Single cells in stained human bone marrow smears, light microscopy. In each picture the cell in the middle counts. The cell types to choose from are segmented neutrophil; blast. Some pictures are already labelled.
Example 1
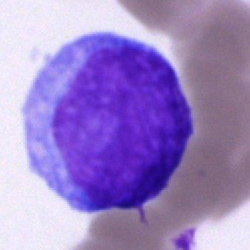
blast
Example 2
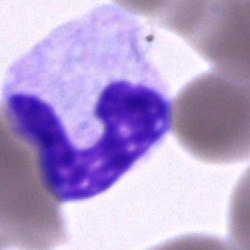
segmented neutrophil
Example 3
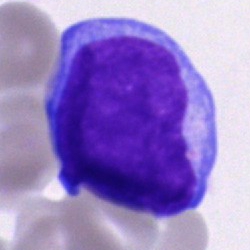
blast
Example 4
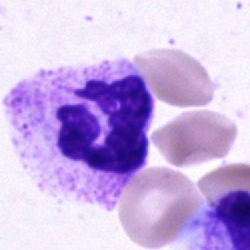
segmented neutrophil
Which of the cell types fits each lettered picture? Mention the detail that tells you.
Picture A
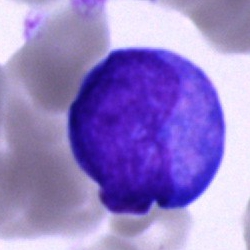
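blast. Evidence: The chromatin looks finely stippled rather than gathered into coarse dark clumps.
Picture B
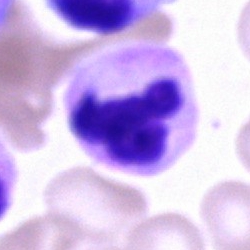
segmented neutrophil. Evidence: The cytoplasm is plentiful and pale pinkish-lilac.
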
